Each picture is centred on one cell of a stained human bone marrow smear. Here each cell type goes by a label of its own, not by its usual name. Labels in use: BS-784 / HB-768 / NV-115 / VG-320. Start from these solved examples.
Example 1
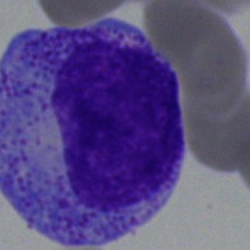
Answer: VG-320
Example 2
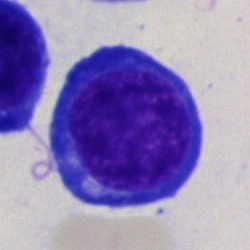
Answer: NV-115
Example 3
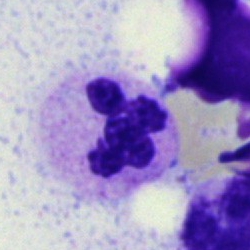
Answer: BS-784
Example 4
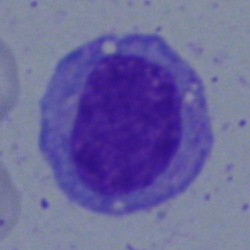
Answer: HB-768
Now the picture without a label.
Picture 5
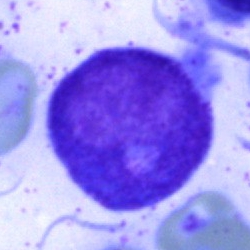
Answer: VG-320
